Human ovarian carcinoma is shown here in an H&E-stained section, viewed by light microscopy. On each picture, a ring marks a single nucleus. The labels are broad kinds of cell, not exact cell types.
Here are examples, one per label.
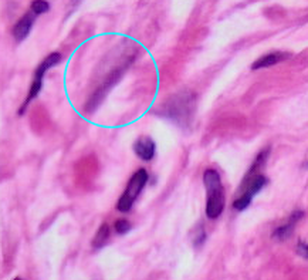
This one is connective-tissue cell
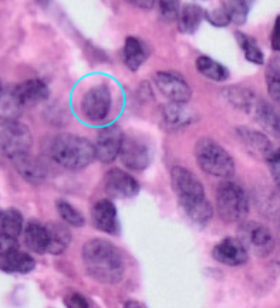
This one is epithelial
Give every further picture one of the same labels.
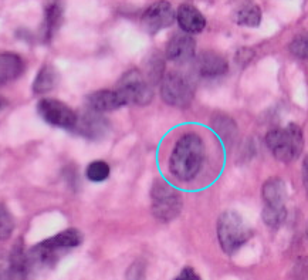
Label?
epithelial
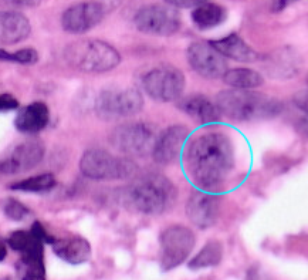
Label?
epithelial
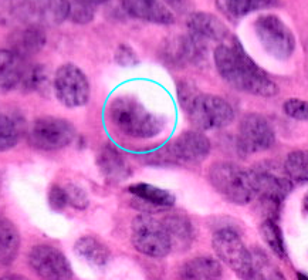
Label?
epithelial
